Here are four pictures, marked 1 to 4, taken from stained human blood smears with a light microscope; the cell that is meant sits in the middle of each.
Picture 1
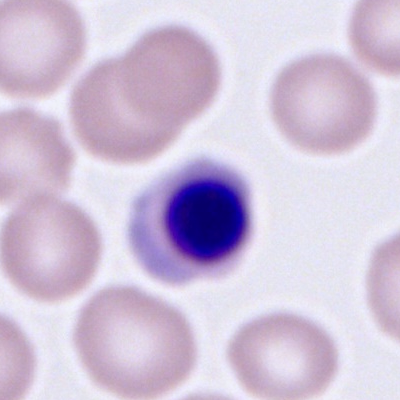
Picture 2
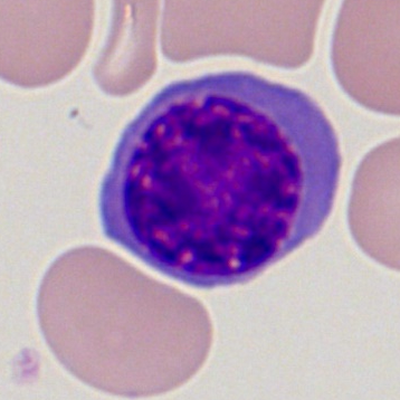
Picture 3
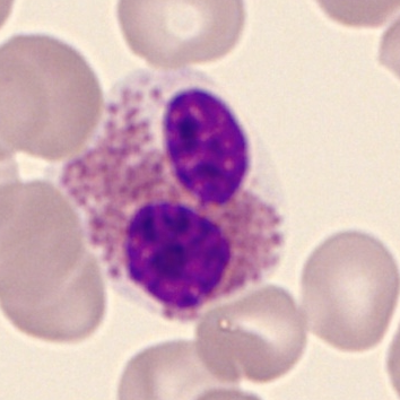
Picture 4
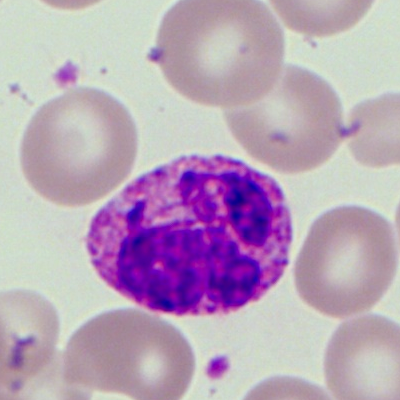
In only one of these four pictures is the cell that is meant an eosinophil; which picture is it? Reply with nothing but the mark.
3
